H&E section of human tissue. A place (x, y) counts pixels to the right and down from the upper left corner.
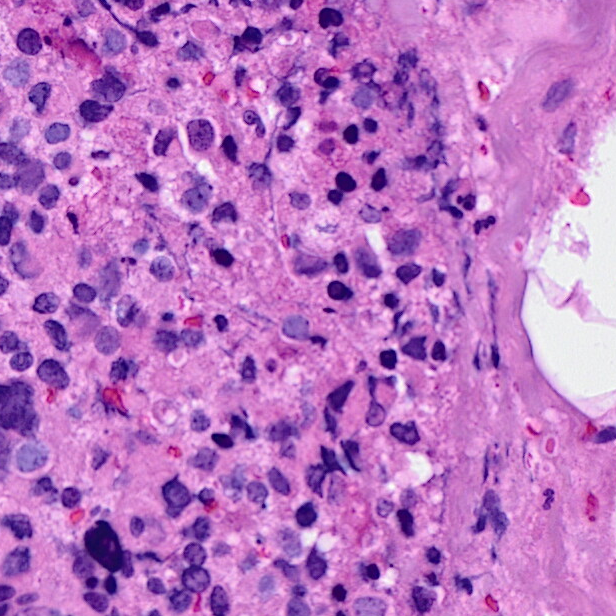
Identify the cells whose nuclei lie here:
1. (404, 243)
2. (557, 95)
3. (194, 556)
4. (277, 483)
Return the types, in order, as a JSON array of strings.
["carcinoma cell", "fibroblast", "carcinoma cell", "carcinoma cell"]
